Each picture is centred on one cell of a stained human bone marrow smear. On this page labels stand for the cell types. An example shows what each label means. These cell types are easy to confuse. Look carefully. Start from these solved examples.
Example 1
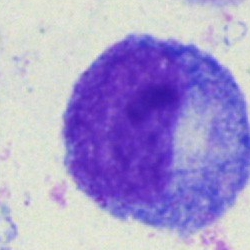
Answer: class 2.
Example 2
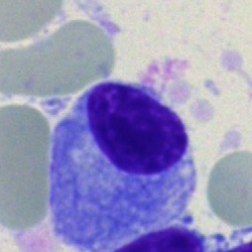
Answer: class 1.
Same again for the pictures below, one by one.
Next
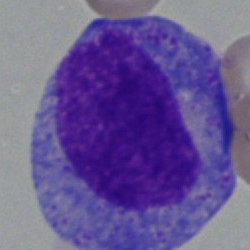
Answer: class 2.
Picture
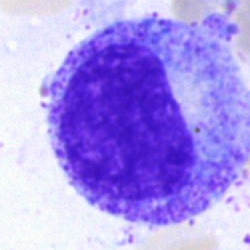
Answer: class 2.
